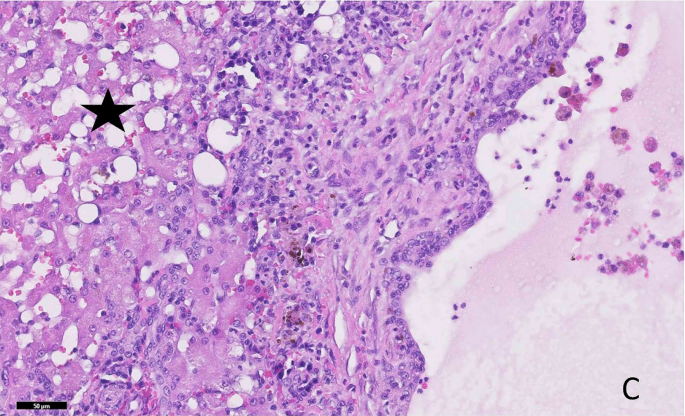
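On the left, hepatocytes are swollen and their cytoplasm is filled with clear round vacuoles of various sizes, a vacuolar degeneration. In the middle a dense band of small round cells with dark nuclei forms an inflammatory infiltrate, with some brown pigment scattered among them. Toward the right, pink fibrous tissue with spindle-shaped nuclei separates this from a cyst lined by flattened to cuboidal cells, whose lumen holds pale pink material and a few loose rounded cells.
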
